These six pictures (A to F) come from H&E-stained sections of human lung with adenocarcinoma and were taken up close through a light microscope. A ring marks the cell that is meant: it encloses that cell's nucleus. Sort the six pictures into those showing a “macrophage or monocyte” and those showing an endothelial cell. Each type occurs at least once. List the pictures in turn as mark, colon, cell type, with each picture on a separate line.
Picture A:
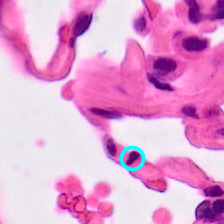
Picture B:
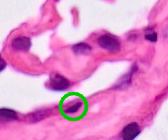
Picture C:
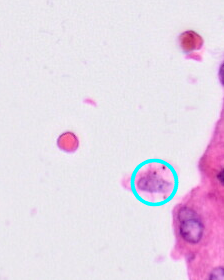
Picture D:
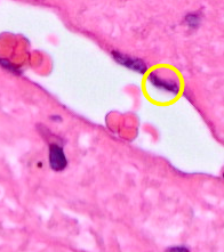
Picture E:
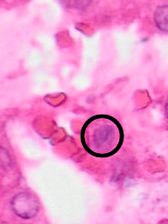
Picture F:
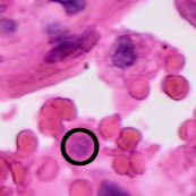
A: endothelial cell
B: endothelial cell
C: macrophage or monocyte
D: endothelial cell
E: macrophage or monocyte
F: macrophage or monocyte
